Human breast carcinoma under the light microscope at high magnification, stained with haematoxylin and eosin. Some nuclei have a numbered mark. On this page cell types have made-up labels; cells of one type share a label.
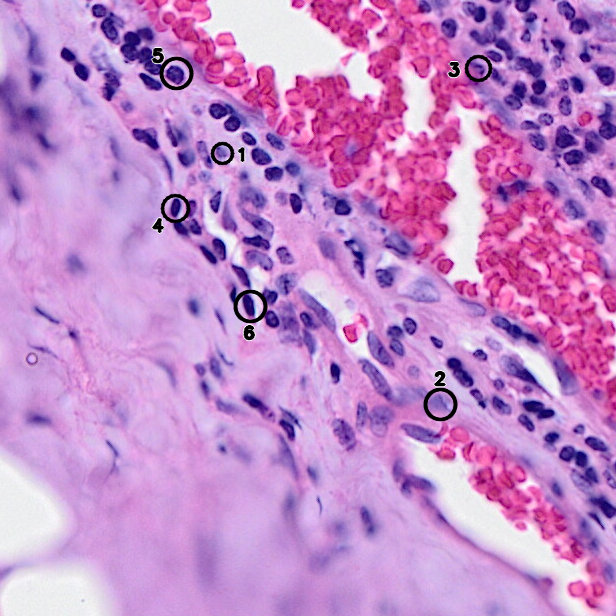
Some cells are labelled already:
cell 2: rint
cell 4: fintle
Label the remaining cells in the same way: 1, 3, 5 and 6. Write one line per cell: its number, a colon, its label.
1: fintle
3: rint
5: fintle
6: fintle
